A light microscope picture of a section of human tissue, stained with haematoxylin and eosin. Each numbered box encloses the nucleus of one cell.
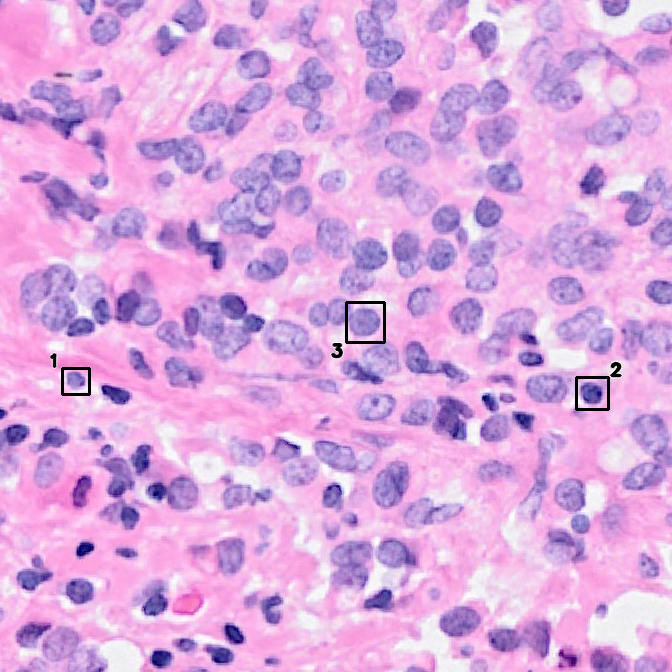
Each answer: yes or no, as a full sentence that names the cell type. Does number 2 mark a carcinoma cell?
No, at number 2 sits a lymphocyte, not a carcinoma cell.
